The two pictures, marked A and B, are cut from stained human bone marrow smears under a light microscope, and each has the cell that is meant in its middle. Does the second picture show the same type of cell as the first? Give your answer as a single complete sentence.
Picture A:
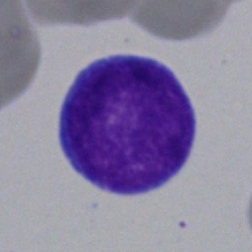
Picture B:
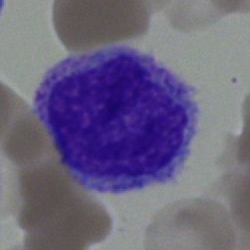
No; the cell in picture A is a blast, while the one in picture B is a monocyte.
